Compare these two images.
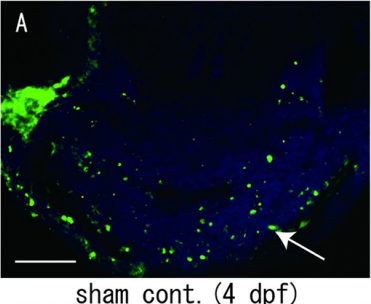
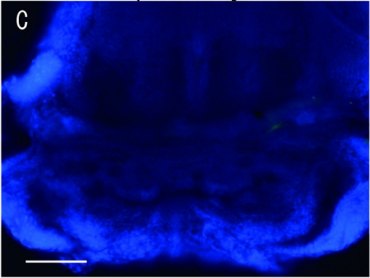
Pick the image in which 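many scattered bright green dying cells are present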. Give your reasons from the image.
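First image: numerous small bright green dots throughout the tissue.
The first image.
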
